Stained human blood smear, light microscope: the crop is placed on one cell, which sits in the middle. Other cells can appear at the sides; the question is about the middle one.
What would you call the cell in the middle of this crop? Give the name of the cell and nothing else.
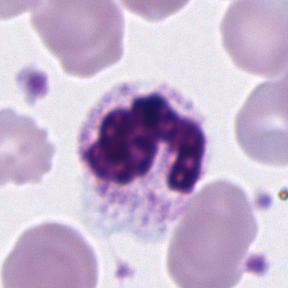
segmented neutrophil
